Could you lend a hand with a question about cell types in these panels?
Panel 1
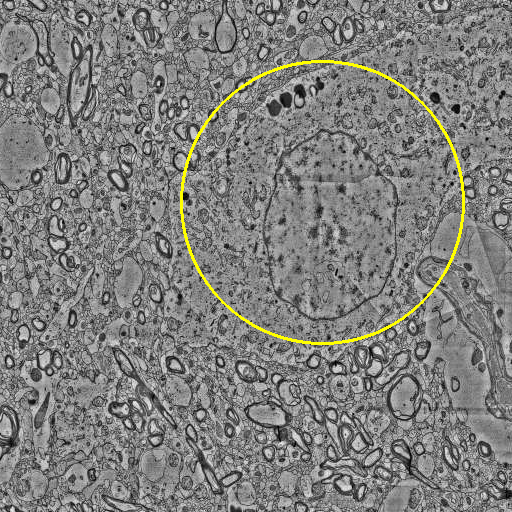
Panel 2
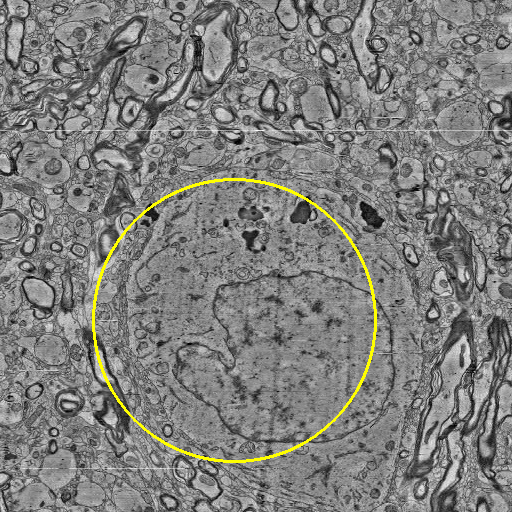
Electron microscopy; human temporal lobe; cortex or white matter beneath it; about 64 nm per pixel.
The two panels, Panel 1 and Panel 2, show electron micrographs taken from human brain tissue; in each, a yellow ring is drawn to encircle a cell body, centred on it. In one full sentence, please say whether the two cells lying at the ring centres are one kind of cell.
Yes, the cells at the ring centres in the two panels are one kind of cell.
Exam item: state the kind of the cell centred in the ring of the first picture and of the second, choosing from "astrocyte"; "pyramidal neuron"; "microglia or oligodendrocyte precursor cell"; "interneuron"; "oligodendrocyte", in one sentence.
The second cell is a pyramidal neuron, just as the first is.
